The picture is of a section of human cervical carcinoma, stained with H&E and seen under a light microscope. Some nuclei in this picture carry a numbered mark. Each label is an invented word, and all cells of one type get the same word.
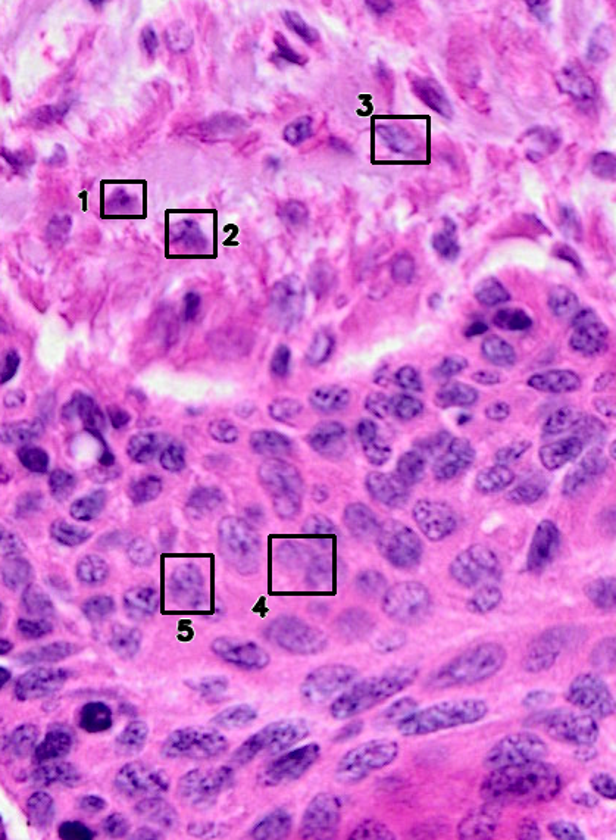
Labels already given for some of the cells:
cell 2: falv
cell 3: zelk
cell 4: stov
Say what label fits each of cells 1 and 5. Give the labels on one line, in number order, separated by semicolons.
zelk; stov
